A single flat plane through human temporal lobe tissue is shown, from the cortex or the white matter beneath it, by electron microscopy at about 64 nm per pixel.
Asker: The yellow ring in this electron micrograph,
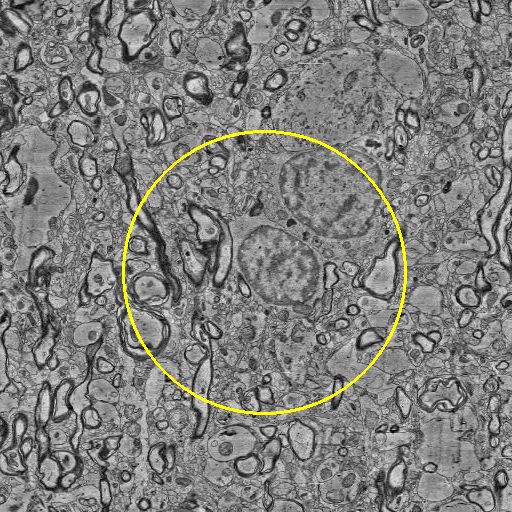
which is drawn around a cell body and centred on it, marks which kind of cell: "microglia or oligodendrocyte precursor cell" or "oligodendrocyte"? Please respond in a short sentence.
The marked cell is an oligodendrocyte.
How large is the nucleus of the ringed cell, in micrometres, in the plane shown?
In this plane, approximately 6 by 4 micrometers.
